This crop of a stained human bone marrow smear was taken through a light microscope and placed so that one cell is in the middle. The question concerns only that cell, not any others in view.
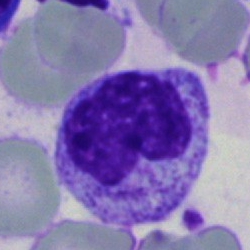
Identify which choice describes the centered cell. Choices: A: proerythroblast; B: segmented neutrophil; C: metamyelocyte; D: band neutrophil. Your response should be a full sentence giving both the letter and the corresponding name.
Option C is correct here, and the cell in the middle is a metamyelocyte.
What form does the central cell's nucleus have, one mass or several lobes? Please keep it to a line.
Please observe that the nucleus consists of one compact round, oval or kidney-shaped mass.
